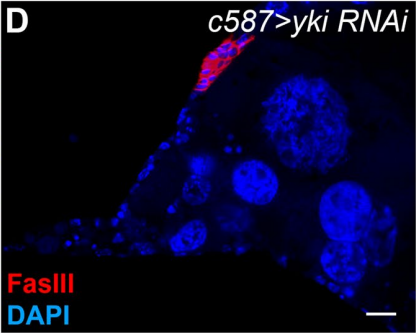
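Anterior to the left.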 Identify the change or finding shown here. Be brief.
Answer: The entire follicular epithelium was disrupted.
